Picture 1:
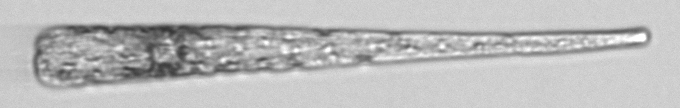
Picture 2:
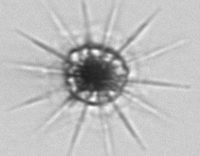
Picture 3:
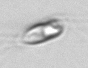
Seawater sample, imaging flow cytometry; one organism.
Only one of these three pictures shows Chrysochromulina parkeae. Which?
Picture 3.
